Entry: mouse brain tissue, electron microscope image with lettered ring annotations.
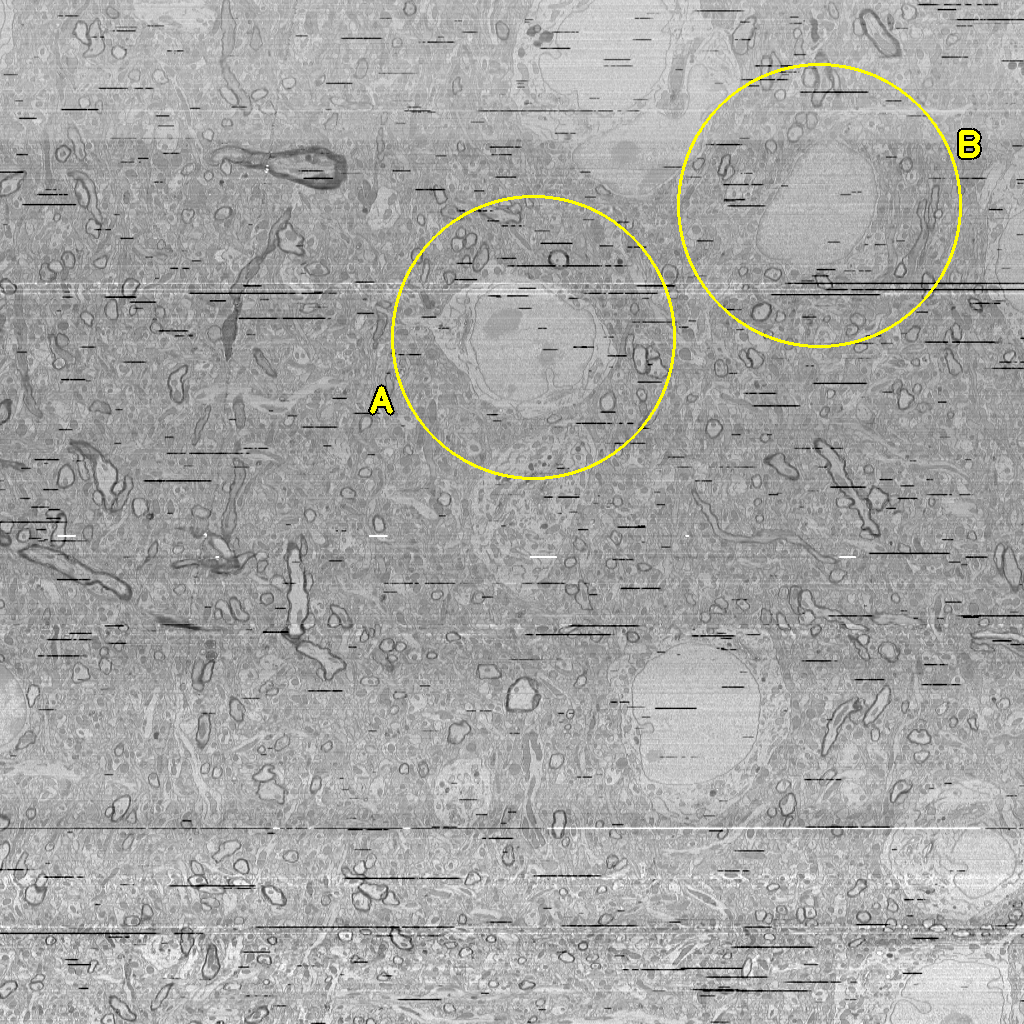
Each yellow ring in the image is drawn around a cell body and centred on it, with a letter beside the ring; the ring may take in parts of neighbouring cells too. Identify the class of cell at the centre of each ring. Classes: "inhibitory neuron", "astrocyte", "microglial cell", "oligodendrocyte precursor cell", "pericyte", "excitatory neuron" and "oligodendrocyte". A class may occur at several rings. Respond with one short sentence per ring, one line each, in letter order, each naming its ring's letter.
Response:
Ring A holds an excitatory neuron at its centre.
Ring B holds an astrocyte at its centre.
